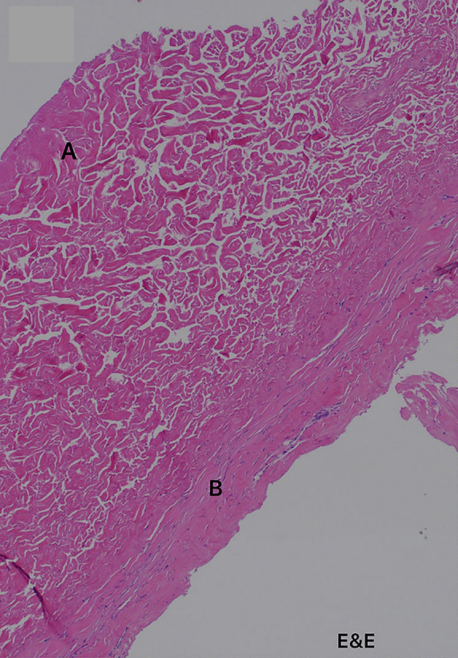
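This is dense fibrous connective tissue stained pink, with two distinct regions. Toward the lower right edge, the fibres change: they form compact parallel bands running in one direction, and a few thin purple nuclei lie stretched between them. These are collagen fibres arranged in thick bundles, a more mature, organised dense connective tissue lining the edge of the specimen.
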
